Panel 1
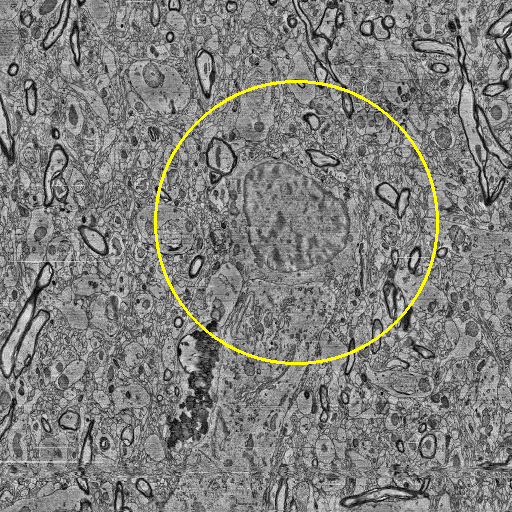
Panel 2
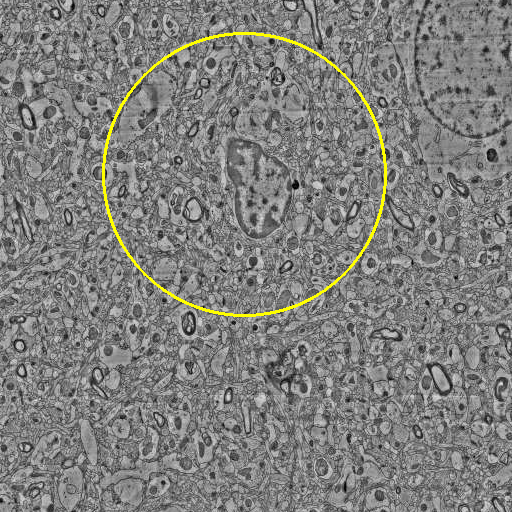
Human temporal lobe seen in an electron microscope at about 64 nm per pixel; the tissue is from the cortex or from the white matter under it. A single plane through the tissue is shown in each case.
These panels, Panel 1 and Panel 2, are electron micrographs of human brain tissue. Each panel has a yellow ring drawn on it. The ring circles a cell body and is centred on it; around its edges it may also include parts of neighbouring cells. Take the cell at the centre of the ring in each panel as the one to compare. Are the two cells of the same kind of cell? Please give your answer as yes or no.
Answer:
no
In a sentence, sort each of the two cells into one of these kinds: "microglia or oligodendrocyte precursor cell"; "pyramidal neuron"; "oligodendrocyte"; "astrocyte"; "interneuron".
The first of the two cells is an oligodendrocyte, and the second is a microglial cell or oligodendrocyte precursor cell.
